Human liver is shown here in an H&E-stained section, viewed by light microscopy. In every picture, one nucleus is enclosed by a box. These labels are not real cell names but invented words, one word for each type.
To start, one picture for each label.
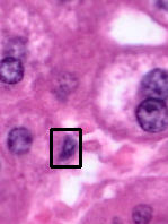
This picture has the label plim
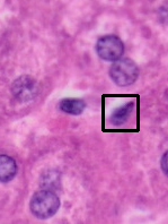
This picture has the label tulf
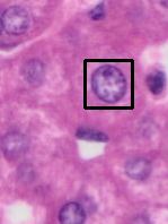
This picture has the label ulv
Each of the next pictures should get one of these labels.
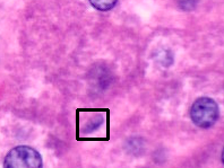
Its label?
tulf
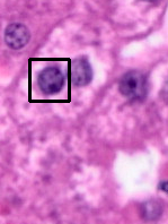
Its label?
ulv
